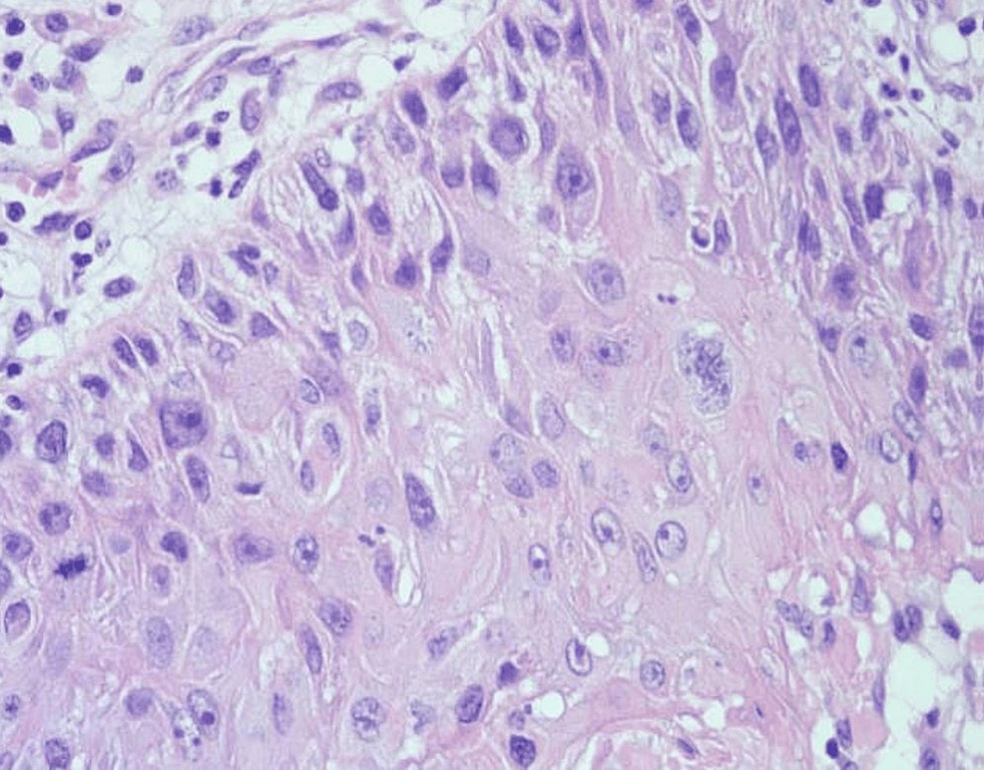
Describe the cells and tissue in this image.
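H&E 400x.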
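This is squamous epithelium in which the cells look malignant: polygonal cells with plentiful pink cytoplasm form a crowded sheet, with loose stroma holding small dark cells at the upper left. The nuclei differ greatly from one another in size and shape, some small and dark, others large, pale and vesicular. Several of the pale nuclei show a distinct dark nucleolus. Dividing cells can be found, with one small dark clump of condensed chromosomes at the left and a large cell with coarse, clumped chromatin near the center.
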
